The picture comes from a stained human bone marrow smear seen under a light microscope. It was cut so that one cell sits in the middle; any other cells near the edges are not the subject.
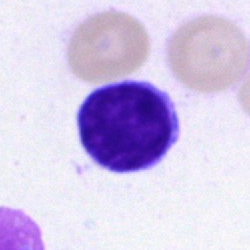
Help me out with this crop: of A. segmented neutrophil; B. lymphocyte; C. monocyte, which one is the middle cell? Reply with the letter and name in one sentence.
Of the choices given, option B is right, as the central cell is a lymphocyte.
